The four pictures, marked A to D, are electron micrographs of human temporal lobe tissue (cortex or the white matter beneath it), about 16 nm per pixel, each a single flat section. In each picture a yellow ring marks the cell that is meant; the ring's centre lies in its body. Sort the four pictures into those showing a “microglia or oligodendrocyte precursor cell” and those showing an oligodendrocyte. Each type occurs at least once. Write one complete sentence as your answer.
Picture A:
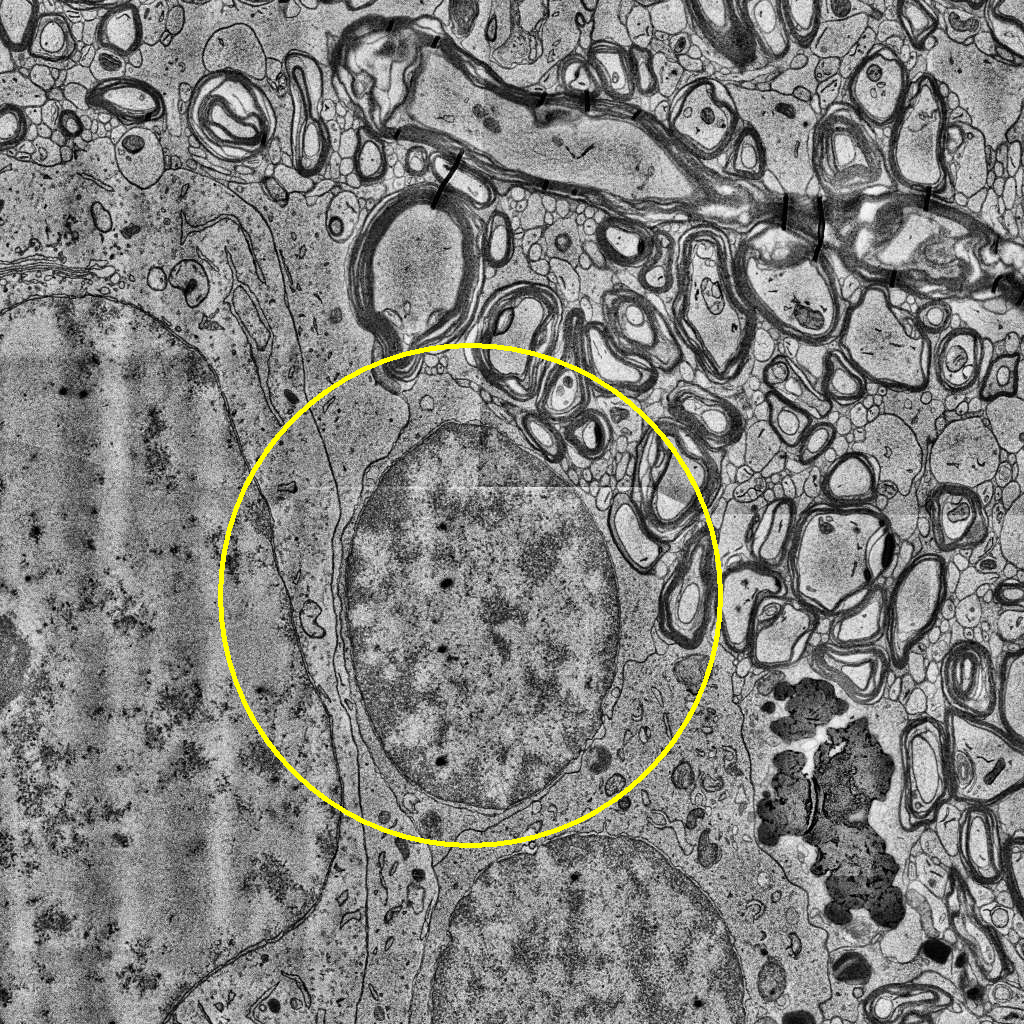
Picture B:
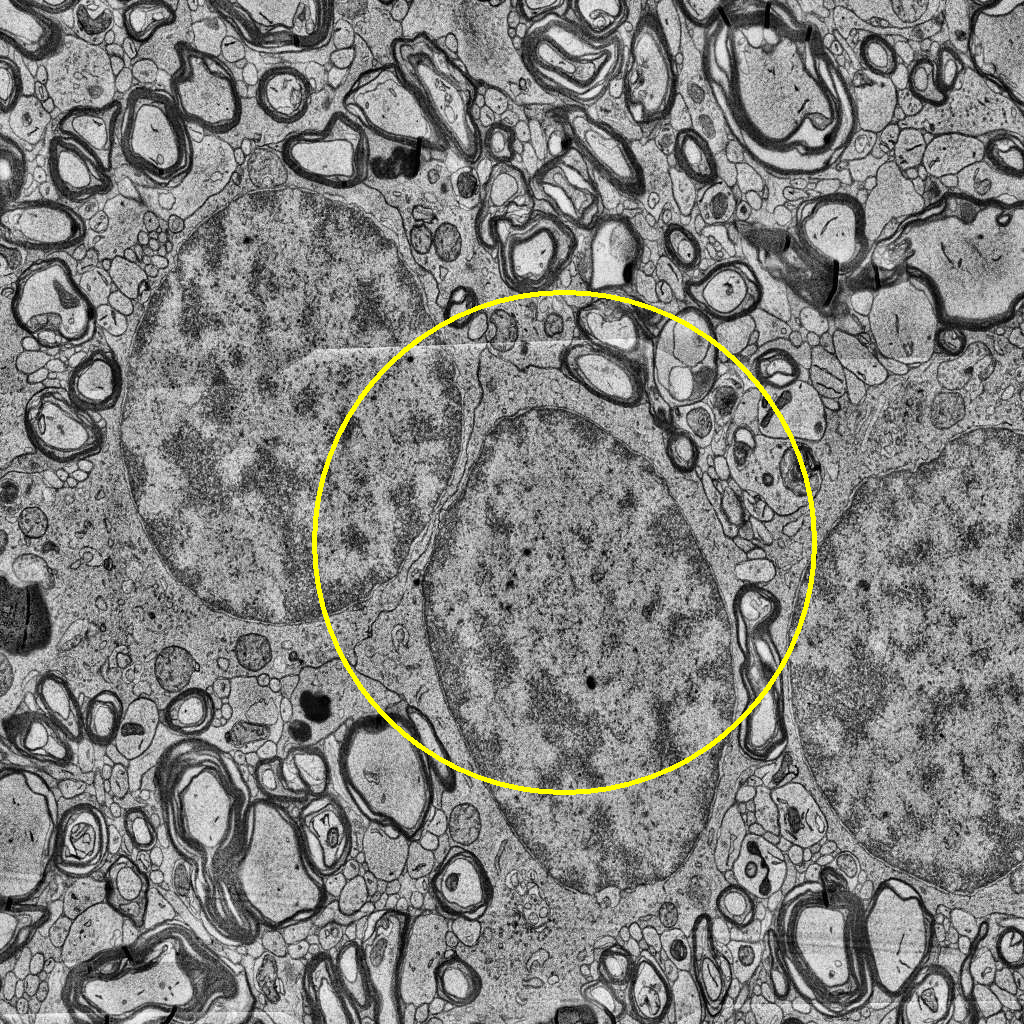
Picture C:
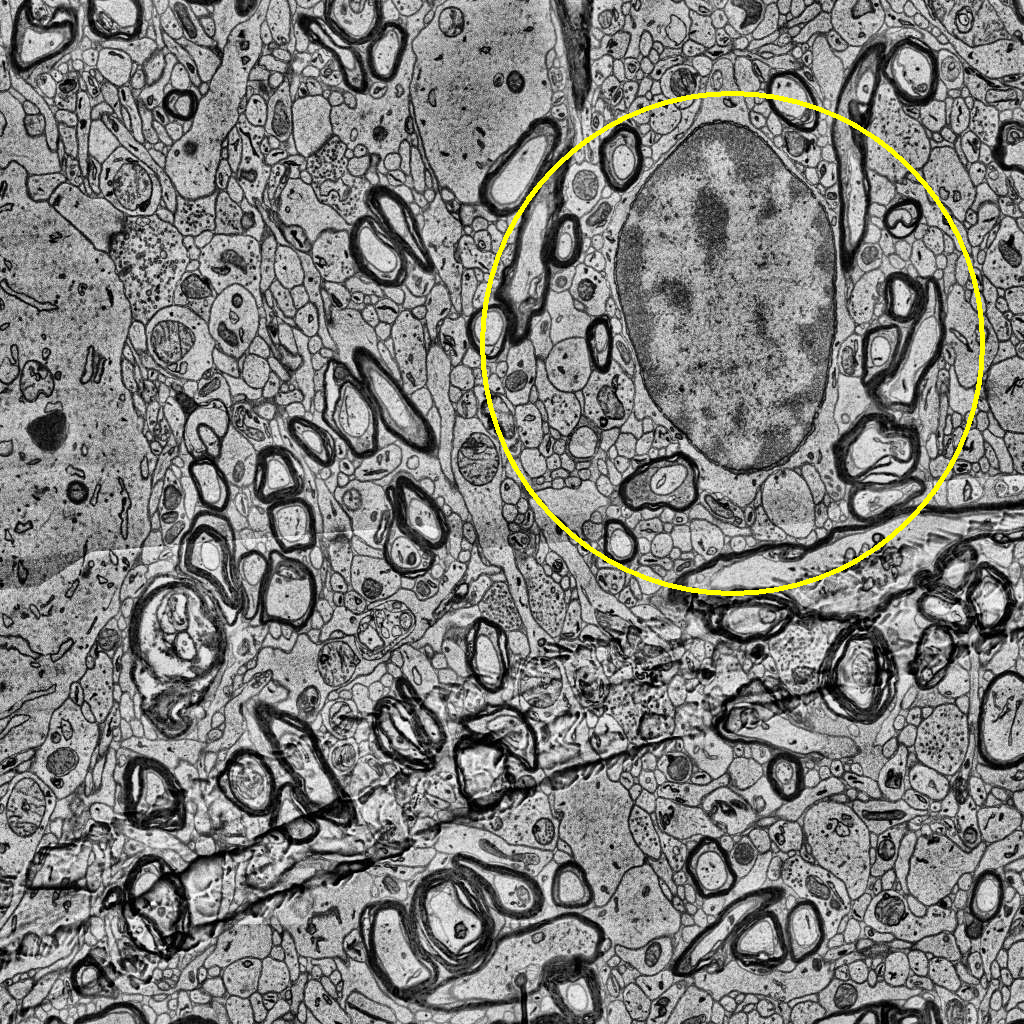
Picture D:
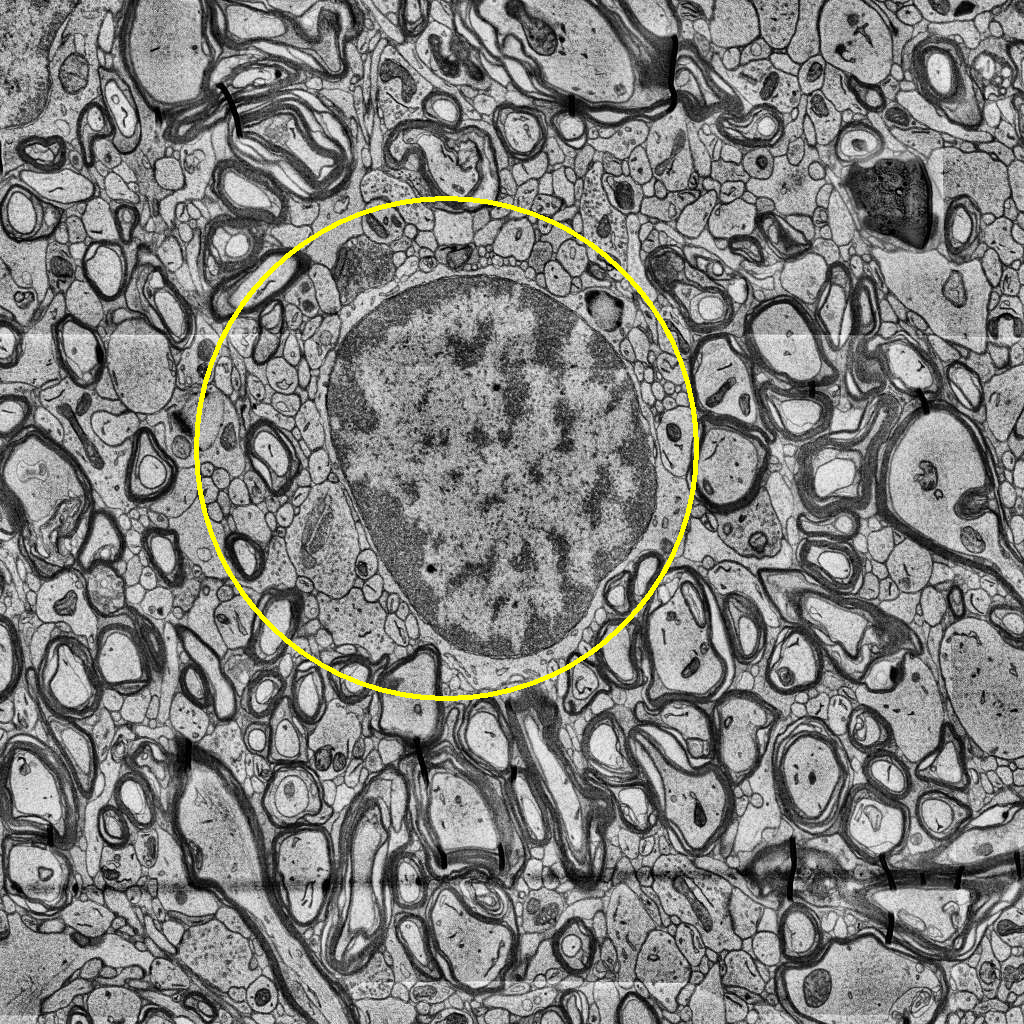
Pictures C and D show “microglia or oligodendrocyte precursor cells”, while pictures A and B show oligodendrocytes.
